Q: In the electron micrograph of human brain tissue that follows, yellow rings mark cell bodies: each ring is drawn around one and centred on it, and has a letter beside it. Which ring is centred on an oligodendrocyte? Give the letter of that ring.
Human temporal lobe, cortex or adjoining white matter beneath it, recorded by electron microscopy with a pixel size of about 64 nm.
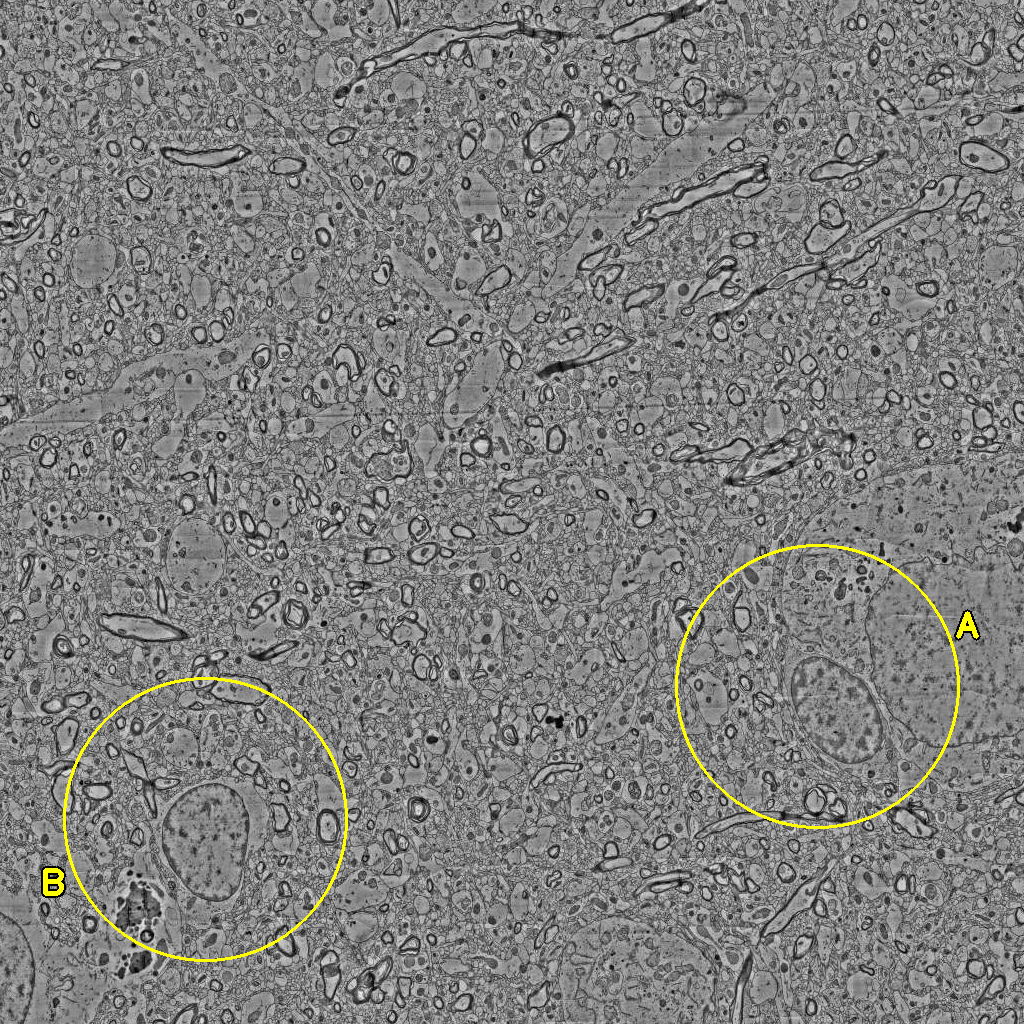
A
